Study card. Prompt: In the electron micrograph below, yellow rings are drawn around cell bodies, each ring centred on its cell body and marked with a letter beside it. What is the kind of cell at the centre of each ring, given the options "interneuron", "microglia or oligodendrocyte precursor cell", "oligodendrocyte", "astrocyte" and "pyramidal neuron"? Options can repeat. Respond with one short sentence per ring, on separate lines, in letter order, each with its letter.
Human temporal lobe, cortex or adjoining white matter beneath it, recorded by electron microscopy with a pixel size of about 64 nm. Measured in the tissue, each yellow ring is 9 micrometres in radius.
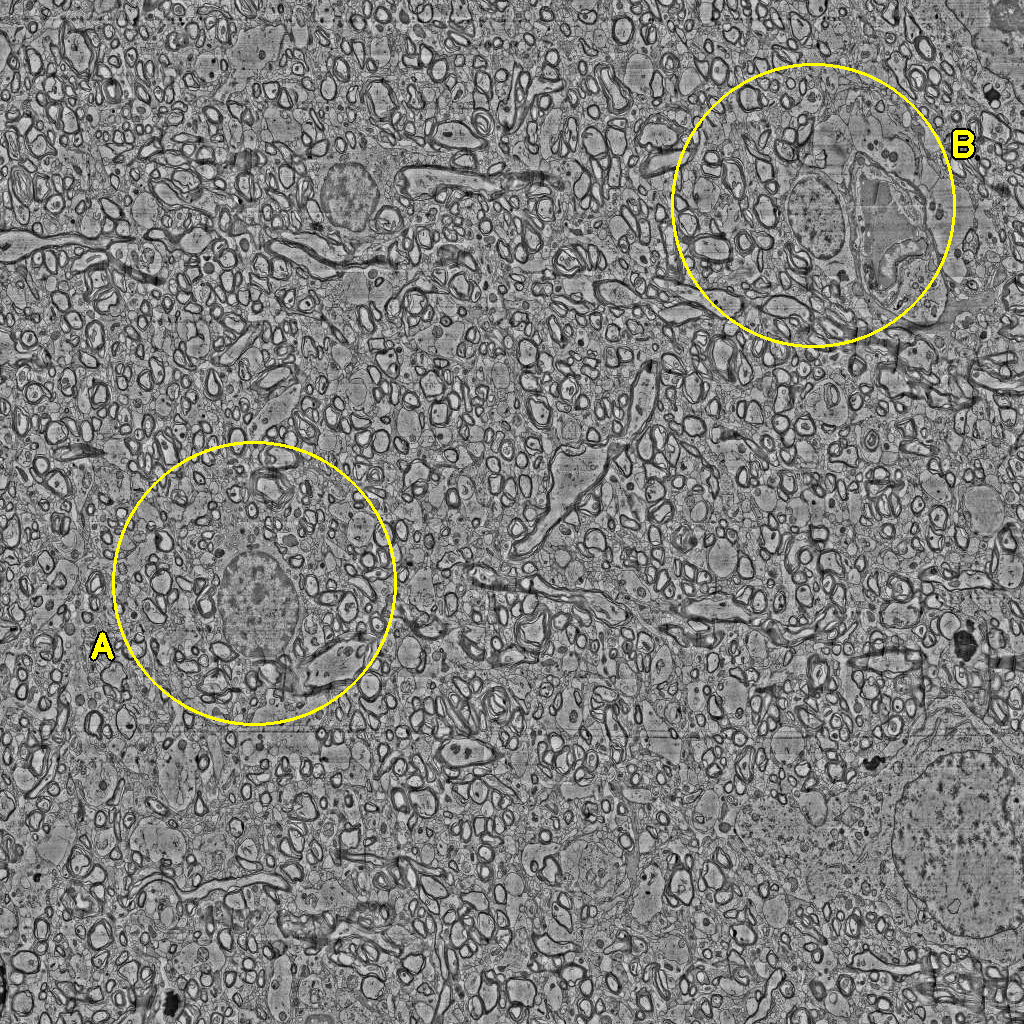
Ring A outlines an oligodendrocyte.
Ring B outlines a microglial cell or oligodendrocyte precursor cell.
